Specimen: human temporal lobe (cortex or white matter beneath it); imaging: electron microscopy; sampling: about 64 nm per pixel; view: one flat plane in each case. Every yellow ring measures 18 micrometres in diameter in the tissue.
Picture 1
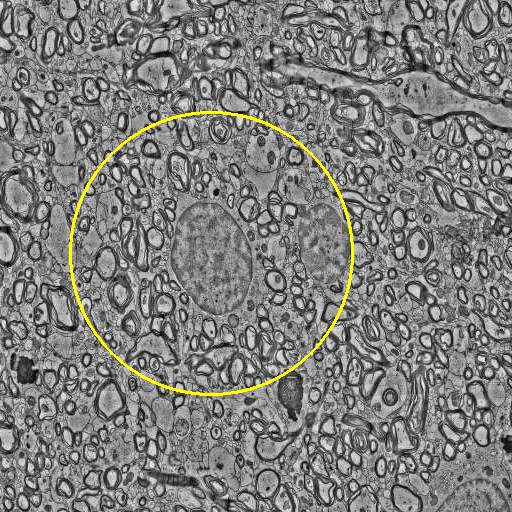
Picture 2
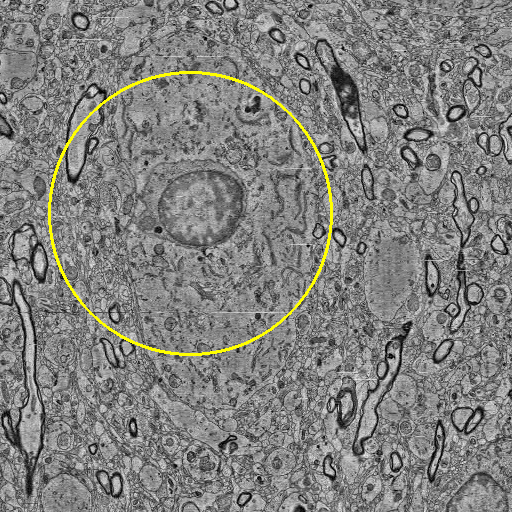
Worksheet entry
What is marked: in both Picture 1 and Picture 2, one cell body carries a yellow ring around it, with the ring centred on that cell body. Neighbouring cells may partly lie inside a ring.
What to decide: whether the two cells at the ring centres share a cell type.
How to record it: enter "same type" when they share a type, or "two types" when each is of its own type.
same type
